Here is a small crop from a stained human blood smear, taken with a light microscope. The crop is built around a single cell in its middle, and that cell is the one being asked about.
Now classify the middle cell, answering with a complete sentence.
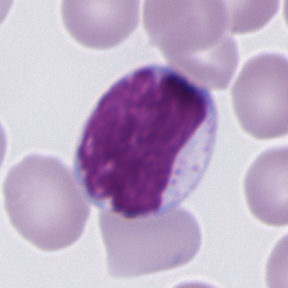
The central cell, amid any neighbouring cells, is a large granular lymphocyte.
